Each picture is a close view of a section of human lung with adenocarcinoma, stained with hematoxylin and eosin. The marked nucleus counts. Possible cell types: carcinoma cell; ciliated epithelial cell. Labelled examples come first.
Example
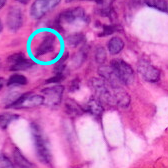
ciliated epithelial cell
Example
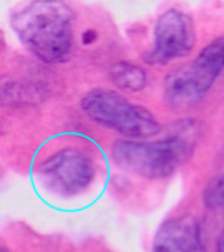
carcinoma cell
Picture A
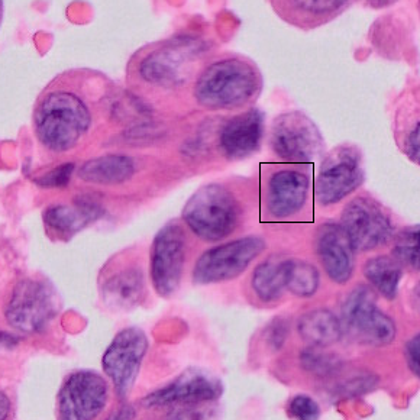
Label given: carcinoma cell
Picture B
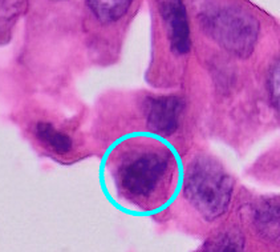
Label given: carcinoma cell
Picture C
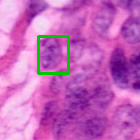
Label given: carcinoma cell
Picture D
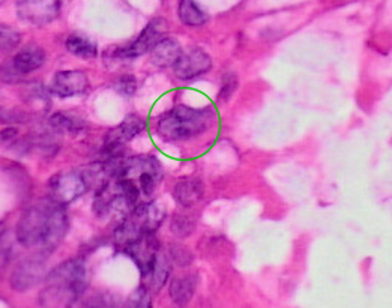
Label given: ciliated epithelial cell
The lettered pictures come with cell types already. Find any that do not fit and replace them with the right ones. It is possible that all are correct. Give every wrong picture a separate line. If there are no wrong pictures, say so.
C is labelled carcinoma cell; correct label: ciliated epithelial cell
